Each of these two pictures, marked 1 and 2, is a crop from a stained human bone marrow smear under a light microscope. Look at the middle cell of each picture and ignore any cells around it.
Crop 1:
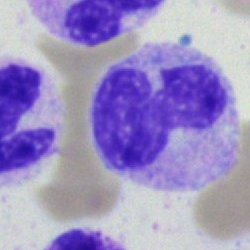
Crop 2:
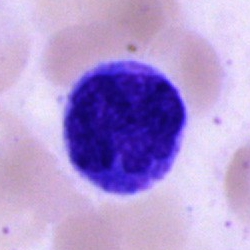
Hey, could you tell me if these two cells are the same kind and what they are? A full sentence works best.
No, the cell of interest in crop 1 is a band neutrophil, and in crop 2 it is a monocyte.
